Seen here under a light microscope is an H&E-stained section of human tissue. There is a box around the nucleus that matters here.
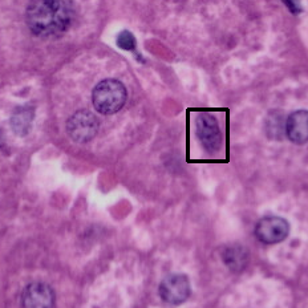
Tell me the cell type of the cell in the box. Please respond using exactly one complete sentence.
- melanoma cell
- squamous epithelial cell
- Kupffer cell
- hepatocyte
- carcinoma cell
In terms of identity, the cell in the box is a Kupffer cell.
